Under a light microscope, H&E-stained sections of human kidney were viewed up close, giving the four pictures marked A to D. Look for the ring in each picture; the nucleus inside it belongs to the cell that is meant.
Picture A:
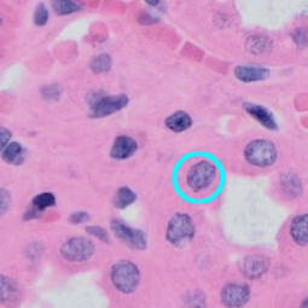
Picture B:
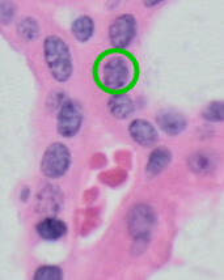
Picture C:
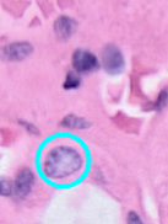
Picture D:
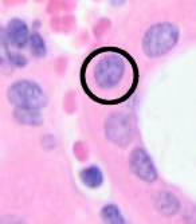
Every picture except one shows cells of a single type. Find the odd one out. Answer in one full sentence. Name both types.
The others show collecting duct cells, but picture A shows a “loop of Henle or distal tubule cell”.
